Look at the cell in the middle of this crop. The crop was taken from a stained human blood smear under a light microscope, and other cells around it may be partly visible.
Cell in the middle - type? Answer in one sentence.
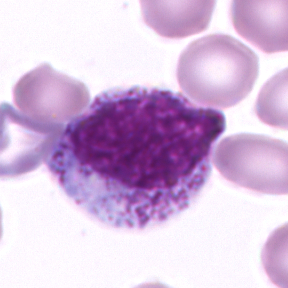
Centrally within this crop lies a myelocyte.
